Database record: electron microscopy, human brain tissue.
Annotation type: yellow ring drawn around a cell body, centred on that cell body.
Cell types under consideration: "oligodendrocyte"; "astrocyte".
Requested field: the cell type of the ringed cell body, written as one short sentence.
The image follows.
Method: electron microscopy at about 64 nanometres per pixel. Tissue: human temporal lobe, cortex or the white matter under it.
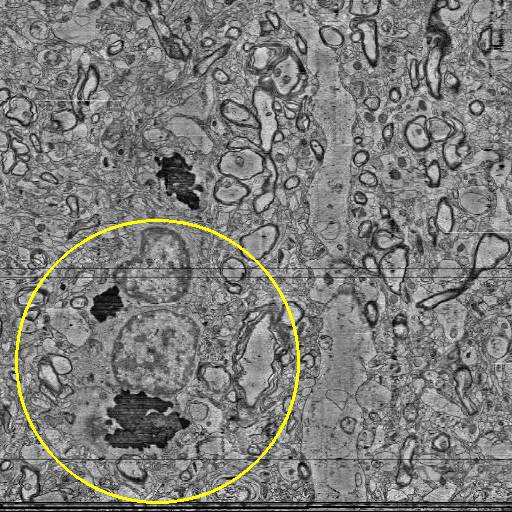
The ringed cell body represents an oligodendrocyte.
